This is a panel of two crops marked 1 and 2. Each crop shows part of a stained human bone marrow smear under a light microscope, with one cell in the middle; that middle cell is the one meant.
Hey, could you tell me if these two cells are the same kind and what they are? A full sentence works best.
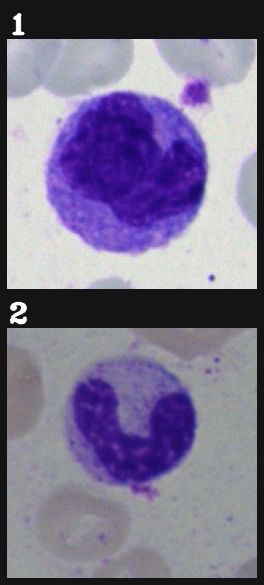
No, mark crop 1 as a monocyte and crop 2 as a band neutrophil.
